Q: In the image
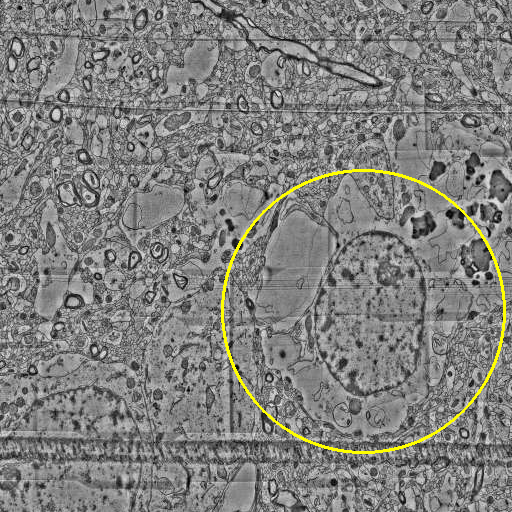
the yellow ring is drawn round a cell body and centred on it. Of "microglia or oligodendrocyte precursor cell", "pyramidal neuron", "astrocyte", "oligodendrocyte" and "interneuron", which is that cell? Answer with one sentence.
The cell centred in the ring is an astrocyte.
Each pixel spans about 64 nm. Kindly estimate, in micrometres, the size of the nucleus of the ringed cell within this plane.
In this plane the nucleus measures roughly 10 by 7 micrometers.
